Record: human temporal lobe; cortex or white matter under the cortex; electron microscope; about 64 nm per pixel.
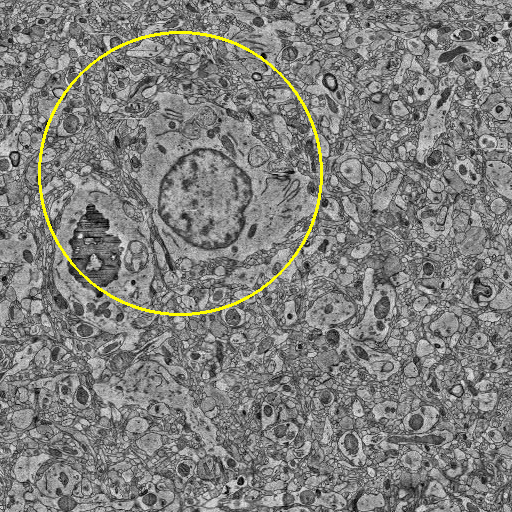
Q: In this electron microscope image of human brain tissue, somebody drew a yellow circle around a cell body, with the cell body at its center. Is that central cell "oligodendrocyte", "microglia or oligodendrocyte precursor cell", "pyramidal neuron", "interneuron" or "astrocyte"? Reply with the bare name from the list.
astrocyte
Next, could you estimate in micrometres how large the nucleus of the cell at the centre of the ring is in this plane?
In this plane the nucleus is about 6 micrometres across.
